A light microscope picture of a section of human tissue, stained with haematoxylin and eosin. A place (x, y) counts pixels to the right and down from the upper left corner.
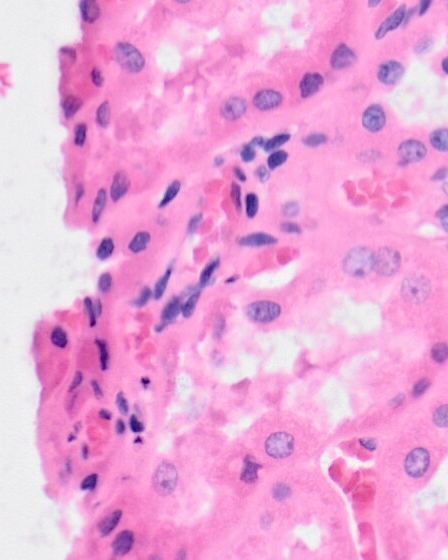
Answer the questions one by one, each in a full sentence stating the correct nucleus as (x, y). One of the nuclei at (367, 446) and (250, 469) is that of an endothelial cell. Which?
Identify the nucleus at (367, 446) as the one belonging to an endothelial cell.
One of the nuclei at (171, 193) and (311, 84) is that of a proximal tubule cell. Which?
Of the two nuclei, the one at (311, 84) belongs to a proximal tubule cell.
